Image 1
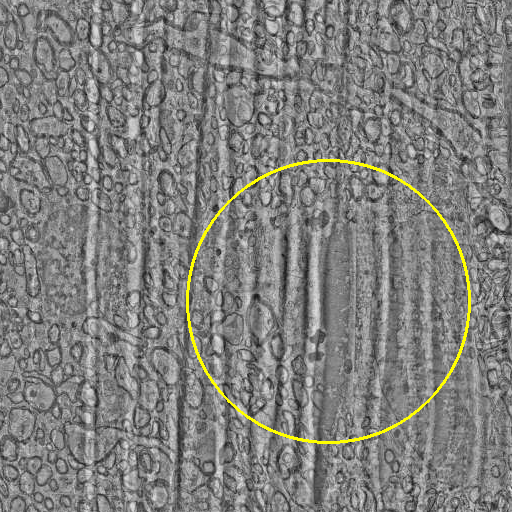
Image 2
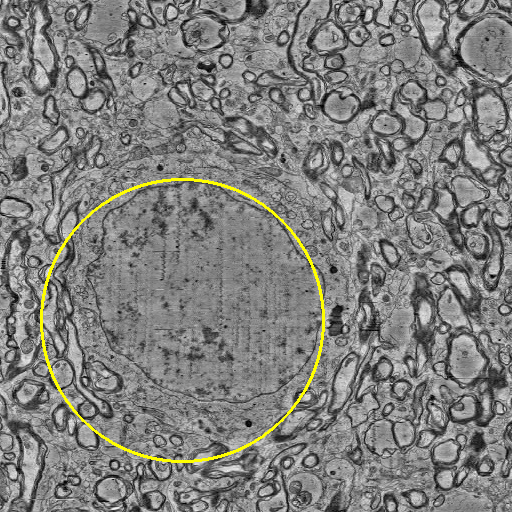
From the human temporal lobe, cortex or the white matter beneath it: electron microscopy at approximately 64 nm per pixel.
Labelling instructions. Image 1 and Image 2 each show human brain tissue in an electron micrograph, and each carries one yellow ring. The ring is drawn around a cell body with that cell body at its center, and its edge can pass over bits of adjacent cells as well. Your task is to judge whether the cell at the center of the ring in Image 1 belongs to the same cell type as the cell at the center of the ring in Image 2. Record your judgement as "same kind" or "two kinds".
same kind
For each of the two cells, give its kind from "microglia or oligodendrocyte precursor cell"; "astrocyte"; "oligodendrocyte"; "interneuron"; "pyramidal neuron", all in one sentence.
Each of the two pictures has a pyramidal neuron at the ring centre.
